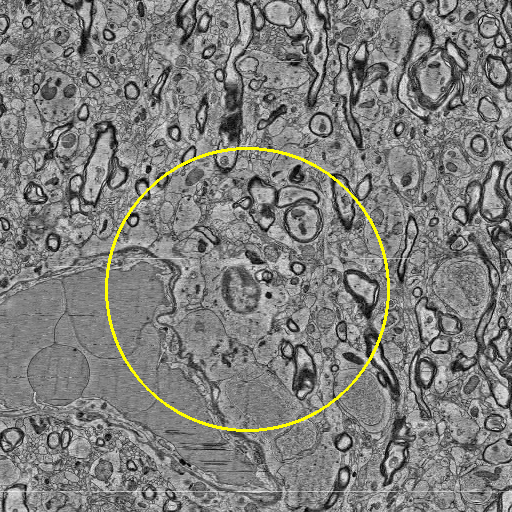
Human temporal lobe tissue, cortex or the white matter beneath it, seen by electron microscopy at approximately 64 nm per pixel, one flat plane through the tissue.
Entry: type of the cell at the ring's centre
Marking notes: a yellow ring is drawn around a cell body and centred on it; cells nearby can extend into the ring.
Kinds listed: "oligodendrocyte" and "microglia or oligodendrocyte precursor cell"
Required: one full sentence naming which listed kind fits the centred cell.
My entry names a microglial cell or oligodendrocyte precursor cell as the cell whose body the yellow ring centres on.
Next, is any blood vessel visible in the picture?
Yes.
